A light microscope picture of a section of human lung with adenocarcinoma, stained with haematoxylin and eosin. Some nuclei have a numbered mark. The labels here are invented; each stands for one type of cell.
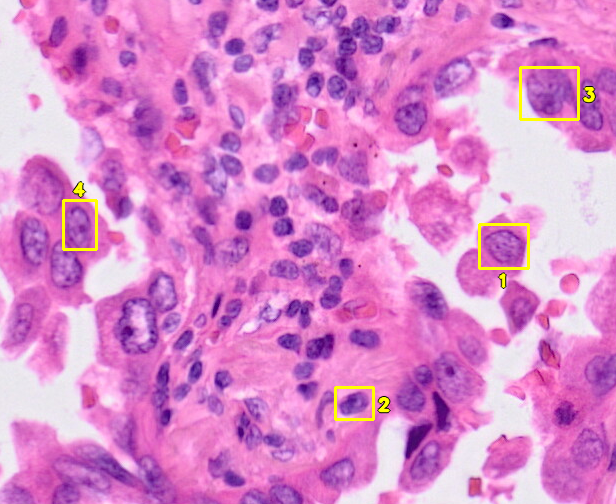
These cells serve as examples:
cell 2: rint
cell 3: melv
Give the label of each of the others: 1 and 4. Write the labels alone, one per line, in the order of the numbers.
melv
melv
